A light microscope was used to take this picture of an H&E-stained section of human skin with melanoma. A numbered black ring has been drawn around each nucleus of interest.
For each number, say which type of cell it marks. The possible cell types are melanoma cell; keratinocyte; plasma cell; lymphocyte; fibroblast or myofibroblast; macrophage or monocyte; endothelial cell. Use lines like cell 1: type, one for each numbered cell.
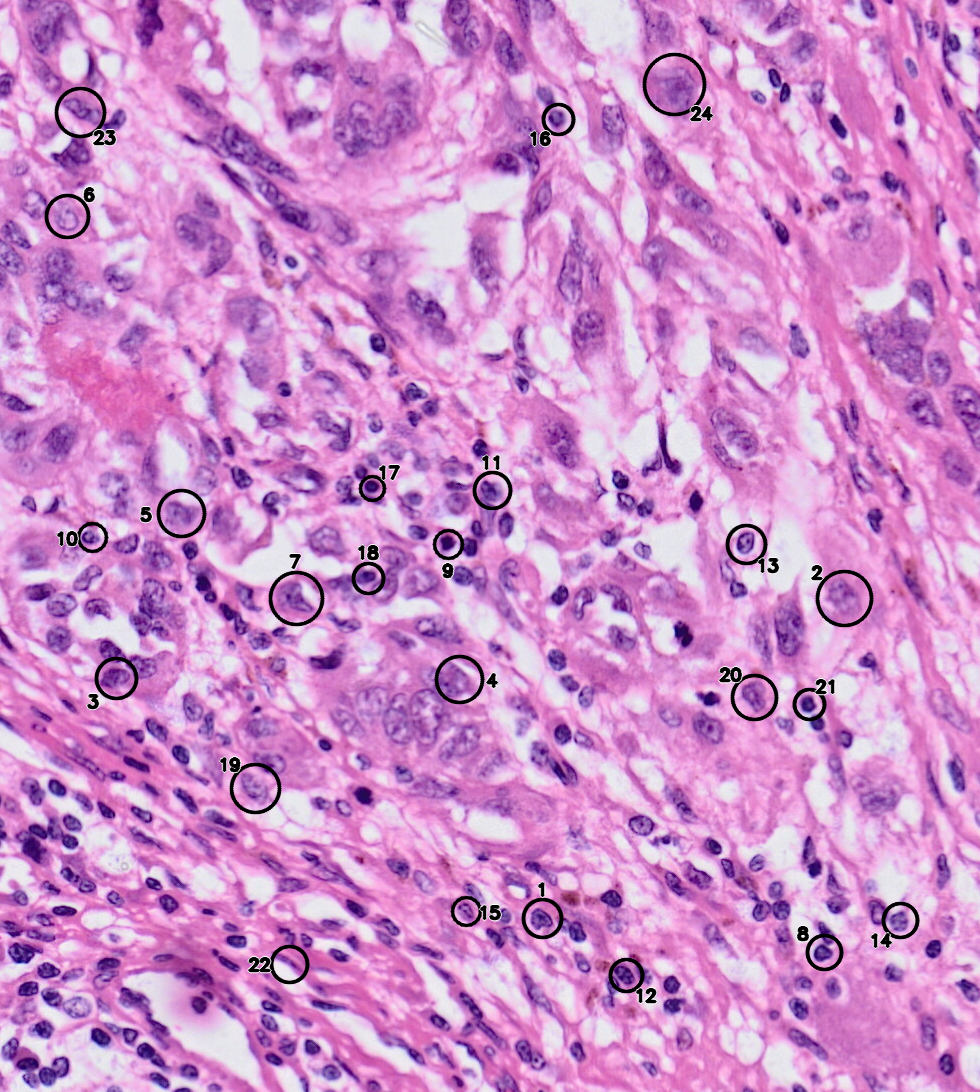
cell 1: lymphocyte
cell 2: melanoma cell
cell 3: melanoma cell
cell 4: melanoma cell
cell 5: melanoma cell
cell 6: melanoma cell
cell 7: melanoma cell
cell 8: lymphocyte
cell 9: lymphocyte
cell 10: lymphocyte
cell 11: lymphocyte
cell 12: plasma cell
cell 13: lymphocyte
cell 14: lymphocyte
cell 15: plasma cell
cell 16: lymphocyte
cell 17: lymphocyte
cell 18: lymphocyte
cell 19: melanoma cell
cell 20: macrophage or monocyte
cell 21: lymphocyte
cell 22: fibroblast or myofibroblast
cell 23: melanoma cell
cell 24: melanoma cell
